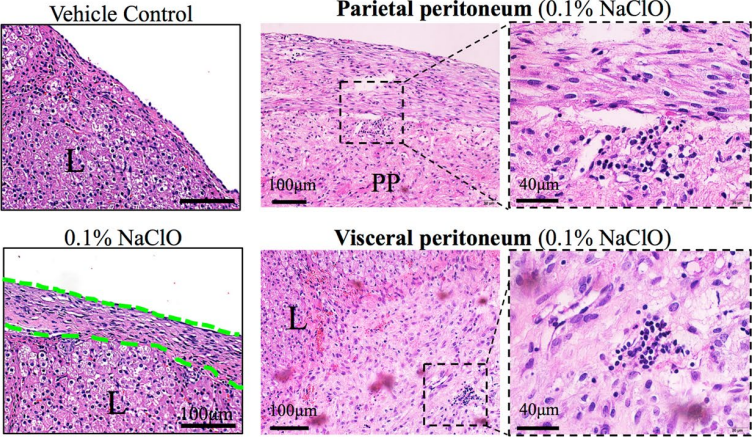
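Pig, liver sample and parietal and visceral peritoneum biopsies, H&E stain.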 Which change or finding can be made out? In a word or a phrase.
thickening of fibrous connective tissue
